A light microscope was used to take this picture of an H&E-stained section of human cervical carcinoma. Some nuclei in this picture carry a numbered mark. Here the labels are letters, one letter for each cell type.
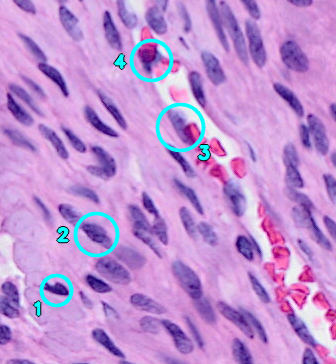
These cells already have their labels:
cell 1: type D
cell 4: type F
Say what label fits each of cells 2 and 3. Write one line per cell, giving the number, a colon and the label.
2: type D
3: type F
